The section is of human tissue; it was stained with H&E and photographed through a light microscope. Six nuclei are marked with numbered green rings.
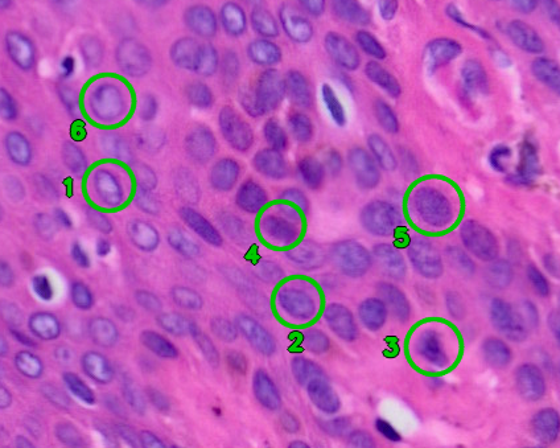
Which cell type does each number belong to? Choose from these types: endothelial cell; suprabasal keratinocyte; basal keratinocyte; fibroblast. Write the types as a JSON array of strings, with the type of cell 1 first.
["suprabasal keratinocyte", "suprabasal keratinocyte", "fibroblast", "basal keratinocyte", "basal keratinocyte", "suprabasal keratinocyte"]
